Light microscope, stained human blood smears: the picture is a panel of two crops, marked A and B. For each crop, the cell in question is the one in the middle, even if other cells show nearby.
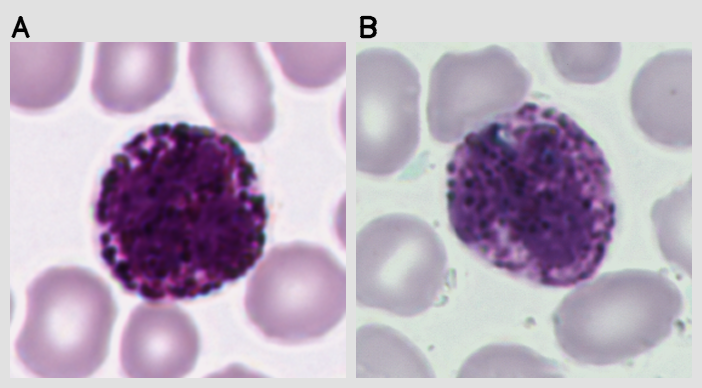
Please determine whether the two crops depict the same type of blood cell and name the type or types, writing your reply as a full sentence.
Yes, it is basophils that sit at the centre of both crops.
